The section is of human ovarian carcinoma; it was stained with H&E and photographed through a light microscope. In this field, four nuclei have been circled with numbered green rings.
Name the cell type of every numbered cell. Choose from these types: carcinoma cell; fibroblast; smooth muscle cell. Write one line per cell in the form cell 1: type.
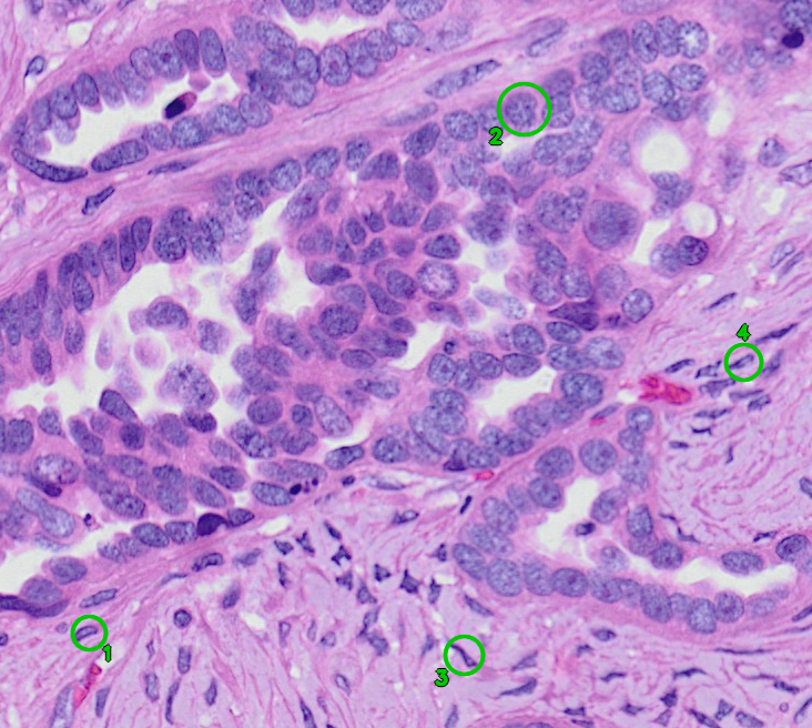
cell 1: fibroblast
cell 2: carcinoma cell
cell 3: fibroblast
cell 4: fibroblast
